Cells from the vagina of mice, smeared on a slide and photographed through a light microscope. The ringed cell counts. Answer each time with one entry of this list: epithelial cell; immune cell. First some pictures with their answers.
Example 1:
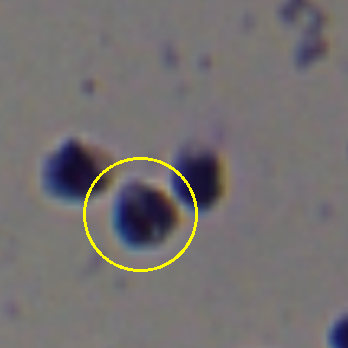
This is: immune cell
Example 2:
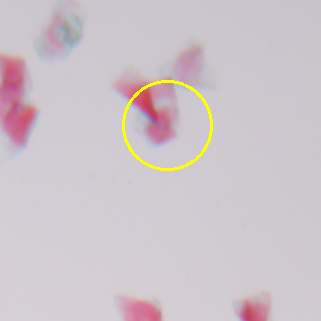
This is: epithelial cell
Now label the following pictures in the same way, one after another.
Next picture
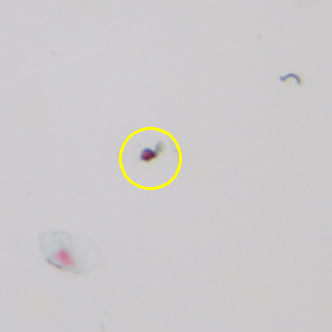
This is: immune cell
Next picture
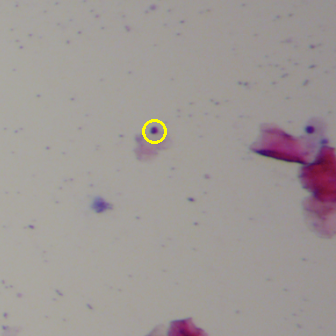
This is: immune cell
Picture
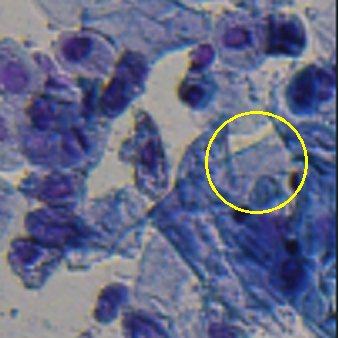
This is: epithelial cell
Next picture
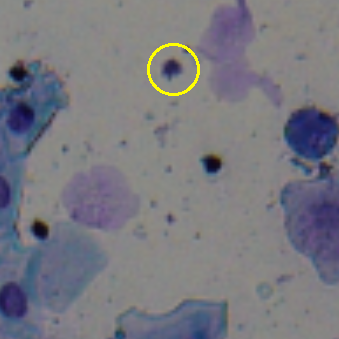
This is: immune cell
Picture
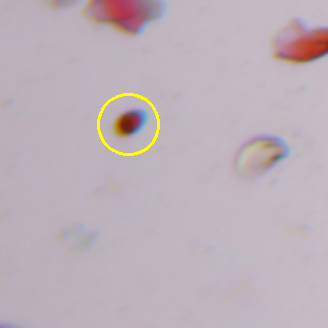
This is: immune cell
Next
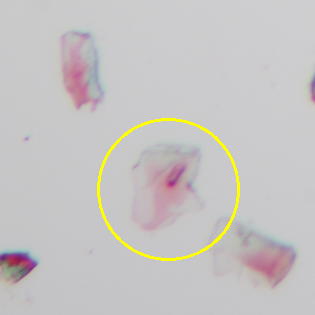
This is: epithelial cell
